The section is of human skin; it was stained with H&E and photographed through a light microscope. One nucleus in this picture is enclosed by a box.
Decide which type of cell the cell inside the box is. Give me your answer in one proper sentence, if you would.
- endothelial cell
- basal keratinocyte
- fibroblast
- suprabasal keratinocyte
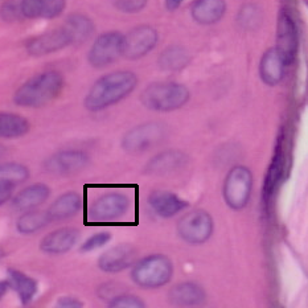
By cell type, the cell inside the box is a suprabasal keratinocyte.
